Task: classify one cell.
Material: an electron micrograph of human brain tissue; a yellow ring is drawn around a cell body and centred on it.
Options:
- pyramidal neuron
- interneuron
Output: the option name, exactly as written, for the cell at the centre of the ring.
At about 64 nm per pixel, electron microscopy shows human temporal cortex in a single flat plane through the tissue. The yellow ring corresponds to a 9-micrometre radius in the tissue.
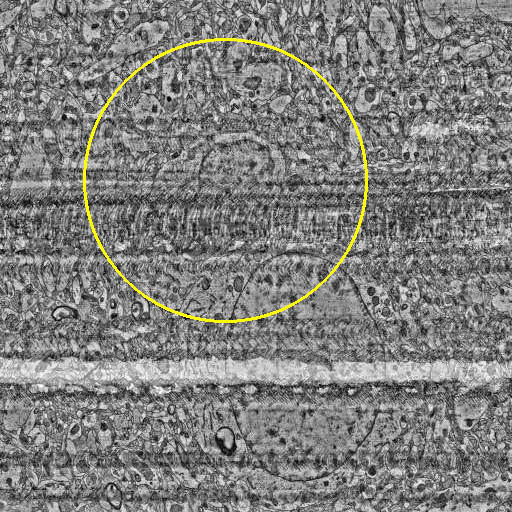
interneuron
